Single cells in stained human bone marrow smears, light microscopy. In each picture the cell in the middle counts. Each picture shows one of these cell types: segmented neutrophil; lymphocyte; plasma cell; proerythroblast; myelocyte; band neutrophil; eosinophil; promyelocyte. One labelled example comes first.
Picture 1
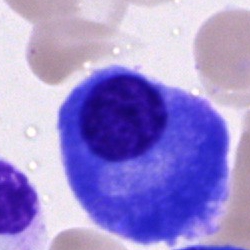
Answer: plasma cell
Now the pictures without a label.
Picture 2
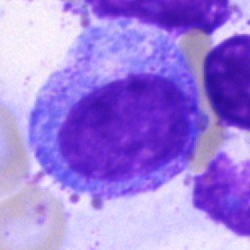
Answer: promyelocyte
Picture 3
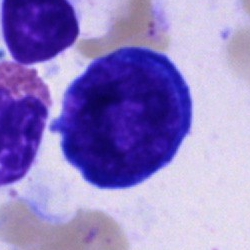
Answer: proerythroblast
